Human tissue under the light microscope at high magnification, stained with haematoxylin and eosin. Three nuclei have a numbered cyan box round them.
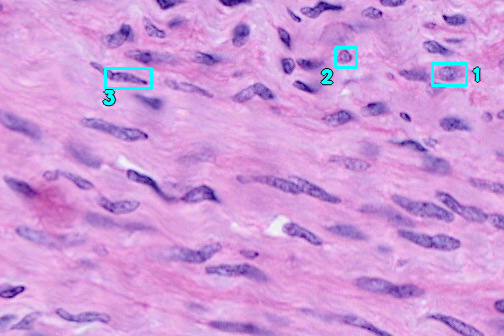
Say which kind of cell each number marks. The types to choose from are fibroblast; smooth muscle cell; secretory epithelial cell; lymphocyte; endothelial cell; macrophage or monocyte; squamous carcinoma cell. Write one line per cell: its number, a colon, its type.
1: smooth muscle cell
2: smooth muscle cell
3: fibroblast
